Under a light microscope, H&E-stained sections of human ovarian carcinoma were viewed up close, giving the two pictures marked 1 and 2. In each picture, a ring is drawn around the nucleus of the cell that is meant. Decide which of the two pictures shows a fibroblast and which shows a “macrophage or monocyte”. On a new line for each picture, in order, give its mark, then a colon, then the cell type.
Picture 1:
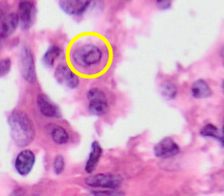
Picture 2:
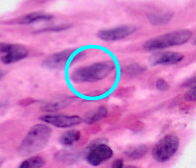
1: macrophage or monocyte
2: fibroblast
